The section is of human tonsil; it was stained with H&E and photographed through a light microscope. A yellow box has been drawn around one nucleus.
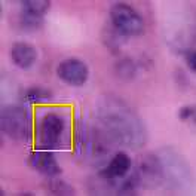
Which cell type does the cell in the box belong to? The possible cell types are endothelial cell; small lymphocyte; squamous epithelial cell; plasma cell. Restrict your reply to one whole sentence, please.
In terms of identity, the cell in the box is an endothelial cell.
